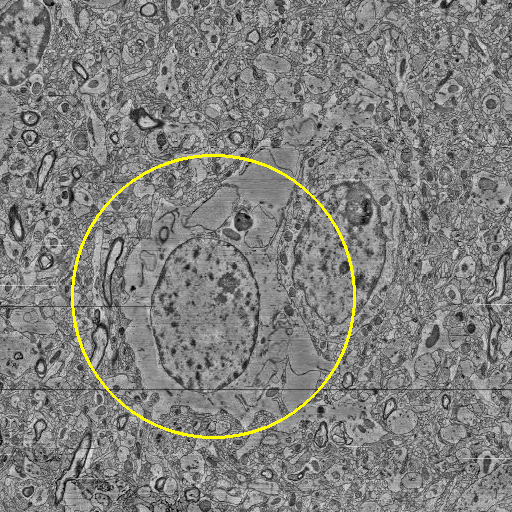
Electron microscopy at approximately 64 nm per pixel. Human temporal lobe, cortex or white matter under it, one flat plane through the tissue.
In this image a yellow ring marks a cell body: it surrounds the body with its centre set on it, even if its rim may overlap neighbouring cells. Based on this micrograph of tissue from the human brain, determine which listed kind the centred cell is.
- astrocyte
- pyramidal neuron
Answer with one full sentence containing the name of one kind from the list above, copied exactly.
It is an astrocyte whose body the yellow ring encloses at its centre.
